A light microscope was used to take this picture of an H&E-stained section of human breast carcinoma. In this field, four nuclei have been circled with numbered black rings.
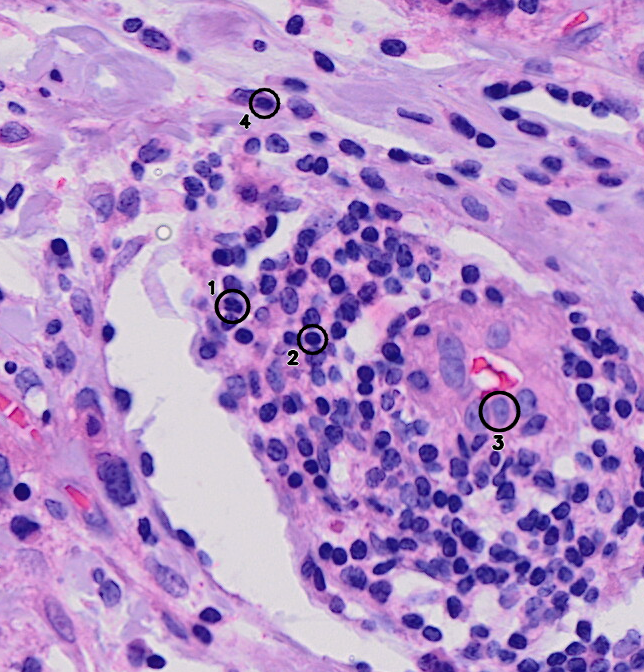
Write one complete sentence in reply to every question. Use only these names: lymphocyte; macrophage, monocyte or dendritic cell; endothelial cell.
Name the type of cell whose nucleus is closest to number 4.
The nucleus nearest to number 4 is that of a macrophage, monocyte or dendritic cell.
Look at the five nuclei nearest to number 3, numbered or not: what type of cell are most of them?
Most of the five nuclei nearest to number 3 are those of endothelial cells.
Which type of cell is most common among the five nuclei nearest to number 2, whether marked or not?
Most of the five nuclei nearest to number 2 are those of lymphocytes.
